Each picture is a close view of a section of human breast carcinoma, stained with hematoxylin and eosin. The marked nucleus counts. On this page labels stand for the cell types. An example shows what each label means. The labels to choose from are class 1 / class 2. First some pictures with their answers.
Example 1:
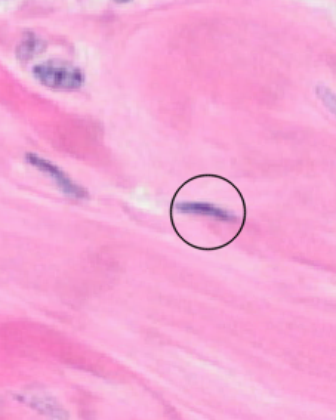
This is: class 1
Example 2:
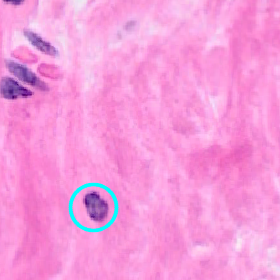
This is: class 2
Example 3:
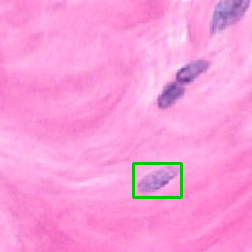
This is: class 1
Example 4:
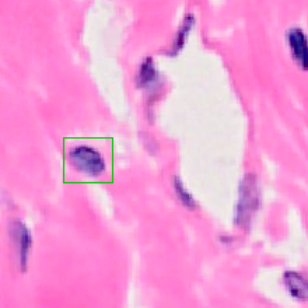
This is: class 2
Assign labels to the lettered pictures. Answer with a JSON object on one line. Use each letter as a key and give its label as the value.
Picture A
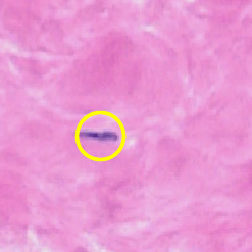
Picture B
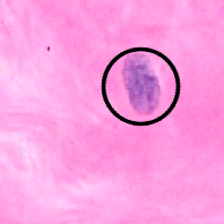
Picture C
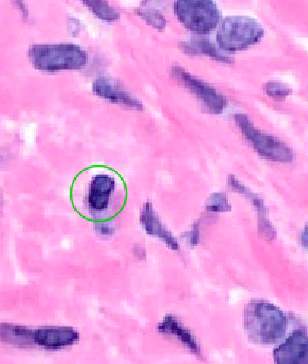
{"A": "class 1", "B": "class 1", "C": "class 2"}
